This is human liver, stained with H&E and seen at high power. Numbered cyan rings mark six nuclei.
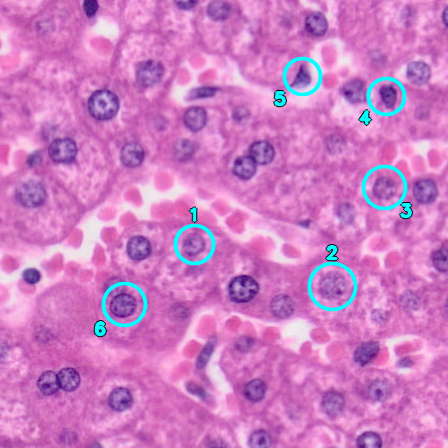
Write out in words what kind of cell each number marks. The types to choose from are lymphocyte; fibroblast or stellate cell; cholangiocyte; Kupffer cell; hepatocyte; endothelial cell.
Cell 1 is a hepatocyte, cell 2 is a hepatocyte, cell 3 is a hepatocyte, cell 4 is a fibroblast or stellate cell, cell 5 is an endothelial cell and cell 6 is a hepatocyte.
